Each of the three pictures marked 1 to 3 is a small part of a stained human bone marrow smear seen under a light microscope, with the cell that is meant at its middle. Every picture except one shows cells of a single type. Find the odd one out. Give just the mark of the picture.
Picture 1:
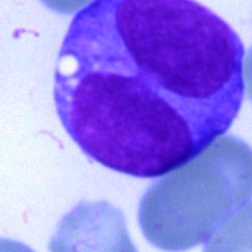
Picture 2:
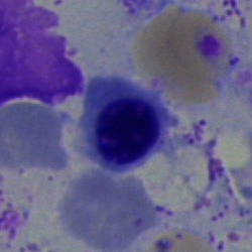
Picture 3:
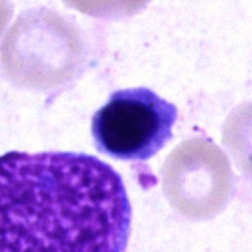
1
